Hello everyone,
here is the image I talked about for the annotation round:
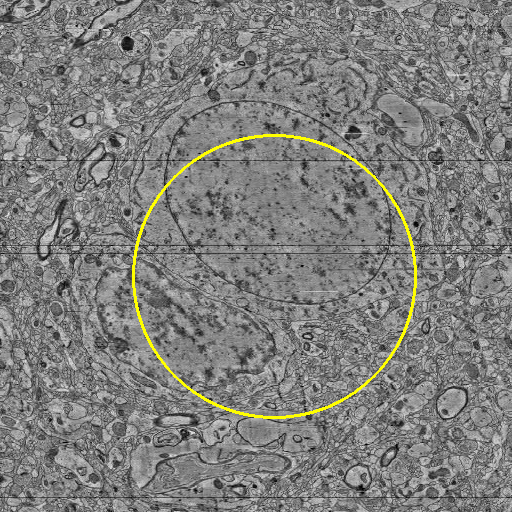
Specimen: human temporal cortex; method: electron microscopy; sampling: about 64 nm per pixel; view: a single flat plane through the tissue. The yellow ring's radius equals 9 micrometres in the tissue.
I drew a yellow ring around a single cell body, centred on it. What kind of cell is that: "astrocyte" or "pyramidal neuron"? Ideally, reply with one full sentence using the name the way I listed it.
The cell your yellow ring is centred on is a pyramidal neuron, going by your list.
